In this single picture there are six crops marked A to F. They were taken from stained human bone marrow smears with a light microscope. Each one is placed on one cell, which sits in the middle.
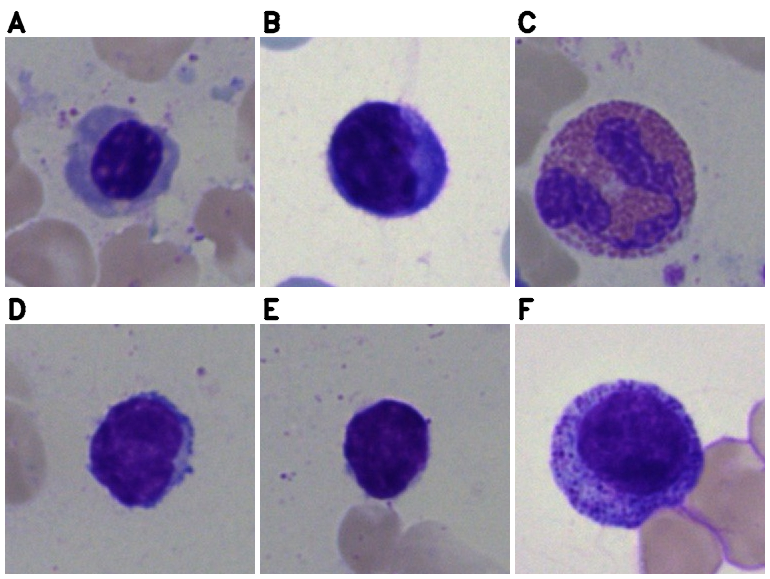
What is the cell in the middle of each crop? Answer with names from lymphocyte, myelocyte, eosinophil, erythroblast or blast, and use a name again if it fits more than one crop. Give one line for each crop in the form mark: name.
A: erythroblast
B: lymphocyte
C: eosinophil
D: lymphocyte
E: lymphocyte
F: myelocyte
